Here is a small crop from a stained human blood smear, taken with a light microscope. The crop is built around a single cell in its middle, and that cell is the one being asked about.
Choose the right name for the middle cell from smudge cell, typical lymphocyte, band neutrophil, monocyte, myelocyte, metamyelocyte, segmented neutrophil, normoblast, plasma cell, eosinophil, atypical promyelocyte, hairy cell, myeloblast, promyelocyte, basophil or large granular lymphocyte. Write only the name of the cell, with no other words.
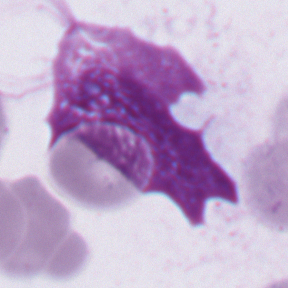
smudge cell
